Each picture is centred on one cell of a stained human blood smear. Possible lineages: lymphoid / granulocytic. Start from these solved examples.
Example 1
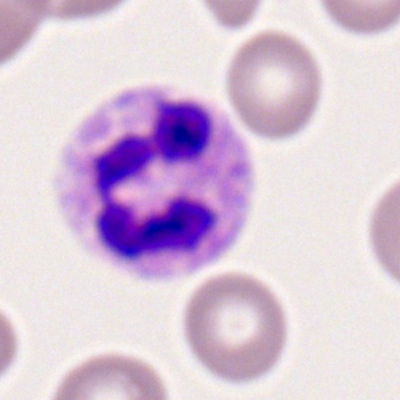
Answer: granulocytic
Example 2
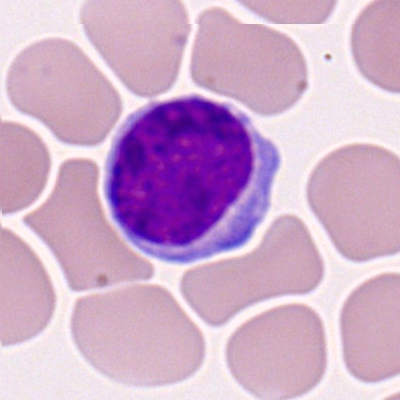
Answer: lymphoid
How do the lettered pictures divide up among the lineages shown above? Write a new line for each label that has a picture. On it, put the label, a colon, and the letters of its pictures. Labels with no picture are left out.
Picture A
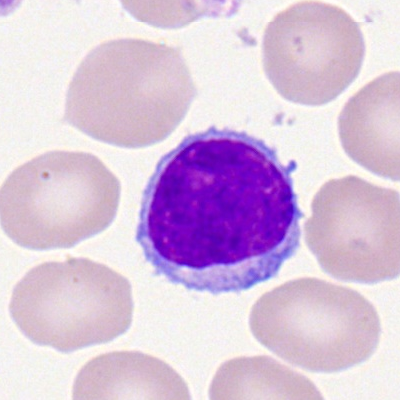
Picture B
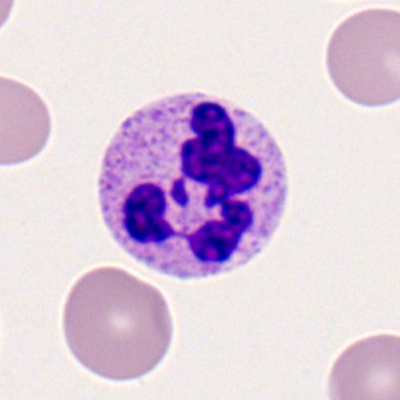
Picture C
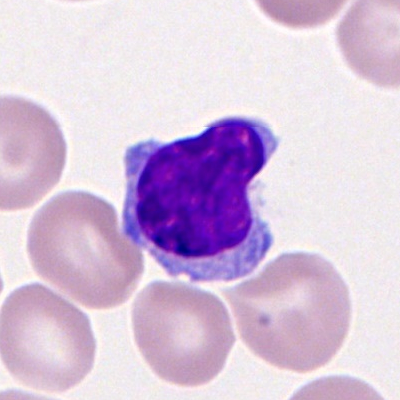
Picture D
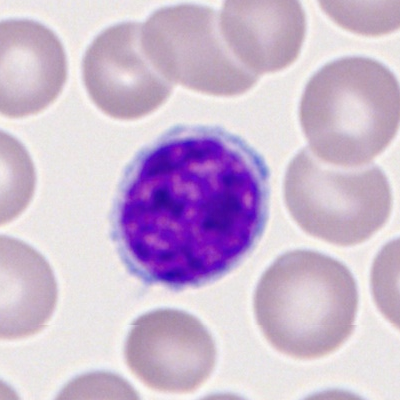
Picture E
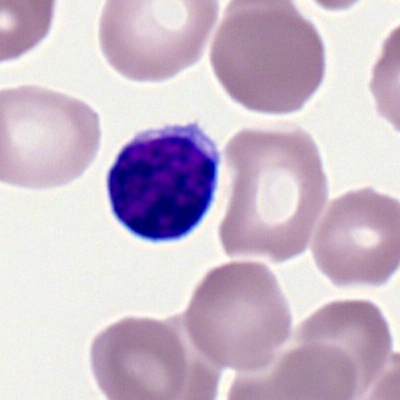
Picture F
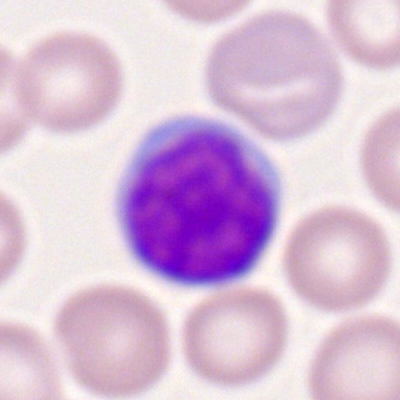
lymphoid: A, C, D, E, F
granulocytic: B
